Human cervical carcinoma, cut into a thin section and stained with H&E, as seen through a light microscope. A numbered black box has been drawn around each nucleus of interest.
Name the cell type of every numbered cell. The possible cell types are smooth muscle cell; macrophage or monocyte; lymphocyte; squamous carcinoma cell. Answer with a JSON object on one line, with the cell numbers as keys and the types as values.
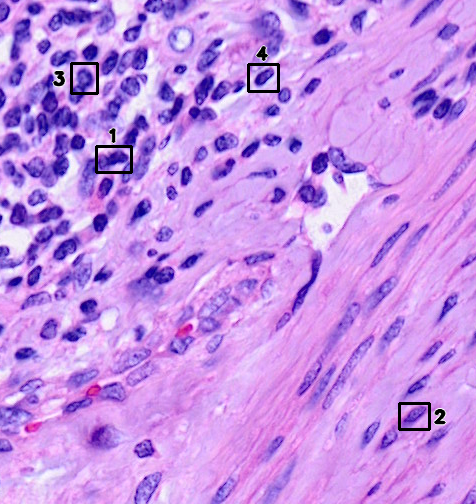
{"1": "lymphocyte", "2": "smooth muscle cell", "3": "lymphocyte", "4": "lymphocyte"}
